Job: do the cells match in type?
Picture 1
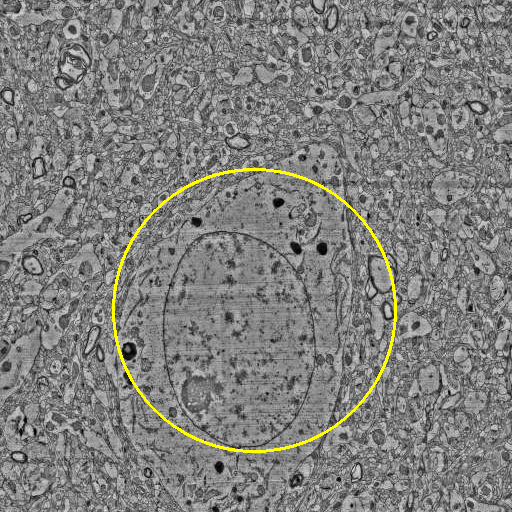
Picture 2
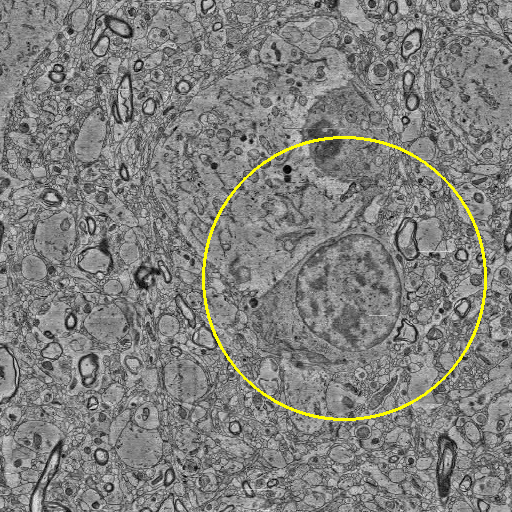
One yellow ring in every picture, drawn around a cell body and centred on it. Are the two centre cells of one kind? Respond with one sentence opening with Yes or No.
No, the ringed cells in the two pictures are of two separate kinds.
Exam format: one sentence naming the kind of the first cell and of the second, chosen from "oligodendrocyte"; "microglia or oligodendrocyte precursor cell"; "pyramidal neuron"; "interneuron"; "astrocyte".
The first picture's cell is a pyramidal neuron, and the second picture's cell is an oligodendrocyte.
